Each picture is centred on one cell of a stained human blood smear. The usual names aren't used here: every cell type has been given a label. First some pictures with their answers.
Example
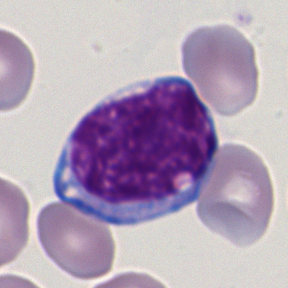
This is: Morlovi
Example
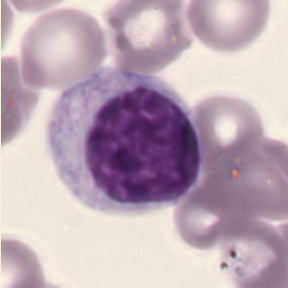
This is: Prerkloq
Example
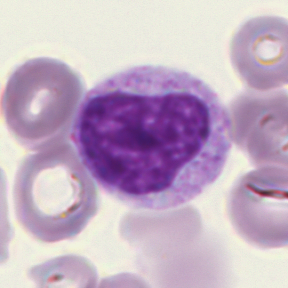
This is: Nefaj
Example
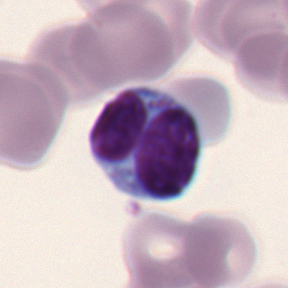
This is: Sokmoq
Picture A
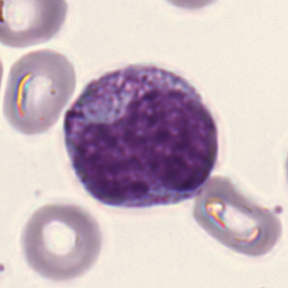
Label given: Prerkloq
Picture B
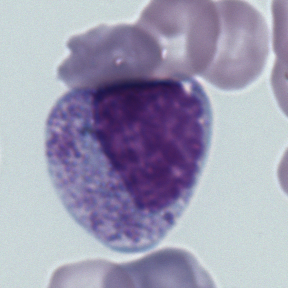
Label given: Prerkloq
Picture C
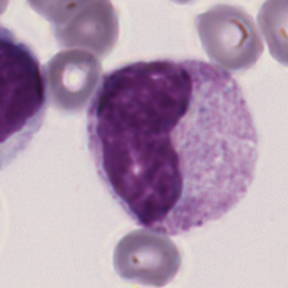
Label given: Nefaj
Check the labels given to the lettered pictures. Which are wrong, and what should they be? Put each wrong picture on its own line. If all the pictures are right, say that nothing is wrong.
Every label is right.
